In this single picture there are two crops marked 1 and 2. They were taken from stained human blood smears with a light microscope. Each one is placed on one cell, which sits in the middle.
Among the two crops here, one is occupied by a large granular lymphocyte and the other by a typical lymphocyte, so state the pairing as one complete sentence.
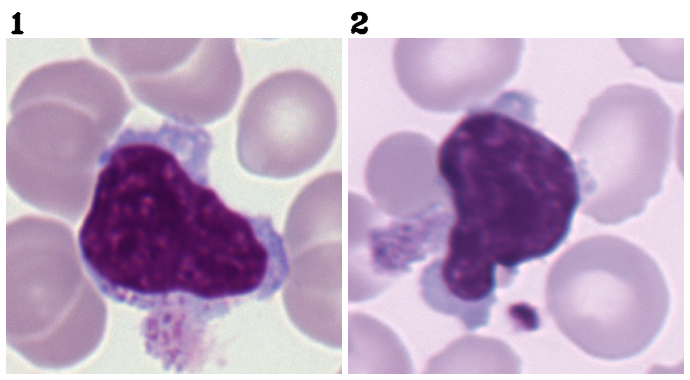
To sum up the two crops, crop 1 is a large granular lymphocyte and crop 2 is a typical lymphocyte.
